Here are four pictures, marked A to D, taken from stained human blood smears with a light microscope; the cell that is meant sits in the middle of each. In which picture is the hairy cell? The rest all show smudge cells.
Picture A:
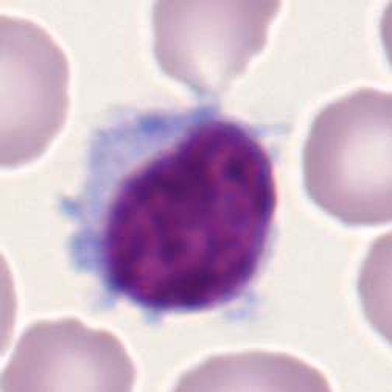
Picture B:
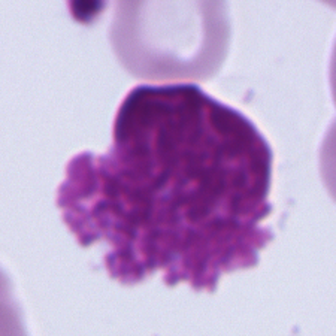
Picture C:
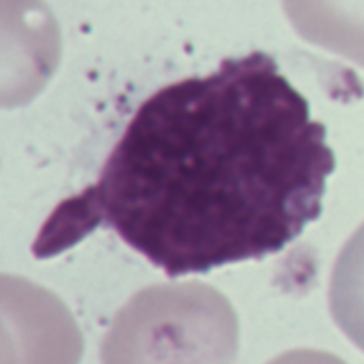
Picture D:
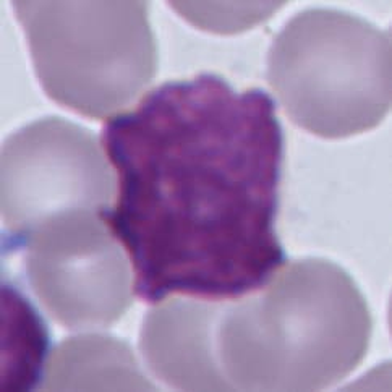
A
